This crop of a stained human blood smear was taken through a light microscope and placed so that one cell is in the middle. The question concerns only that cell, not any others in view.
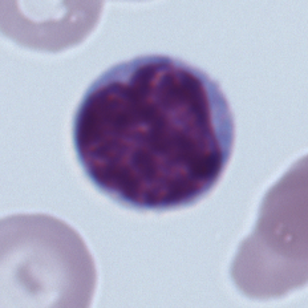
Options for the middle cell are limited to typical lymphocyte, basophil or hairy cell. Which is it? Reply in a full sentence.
The cell in the middle of this crop is a typical lymphocyte.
